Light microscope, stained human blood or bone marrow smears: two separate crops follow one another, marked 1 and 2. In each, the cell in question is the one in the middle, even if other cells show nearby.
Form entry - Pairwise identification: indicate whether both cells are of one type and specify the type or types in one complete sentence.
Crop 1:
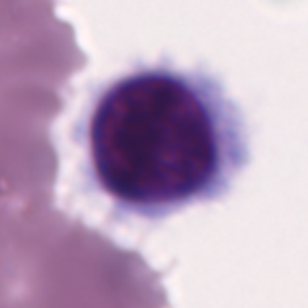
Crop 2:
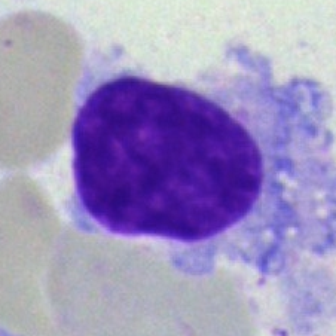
Yes, both crops have hairy cells at the centre.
